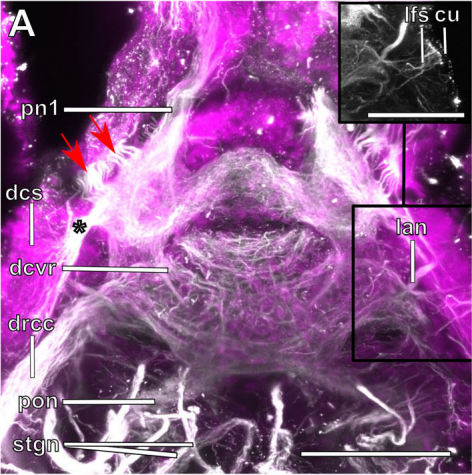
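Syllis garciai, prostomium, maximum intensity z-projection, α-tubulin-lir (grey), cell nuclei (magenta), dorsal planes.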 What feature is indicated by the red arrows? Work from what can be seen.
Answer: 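Thin grey fibre strands branch off a thick grey fibre bundle at the arrow tips. The strands run outward into the anterior-lateral region. The answer: bundles.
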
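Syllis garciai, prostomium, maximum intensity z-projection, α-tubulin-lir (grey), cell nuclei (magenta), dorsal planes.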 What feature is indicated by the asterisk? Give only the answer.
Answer: Neurite bundle.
